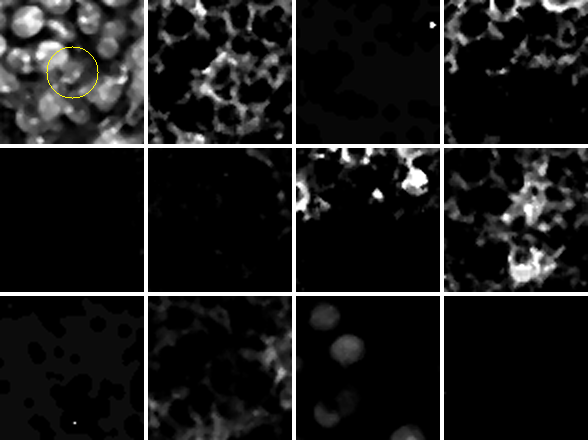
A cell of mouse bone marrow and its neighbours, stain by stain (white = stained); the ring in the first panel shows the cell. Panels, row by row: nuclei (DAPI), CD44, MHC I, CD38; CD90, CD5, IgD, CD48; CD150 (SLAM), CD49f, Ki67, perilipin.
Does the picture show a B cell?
No, it shows a neutrophil.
